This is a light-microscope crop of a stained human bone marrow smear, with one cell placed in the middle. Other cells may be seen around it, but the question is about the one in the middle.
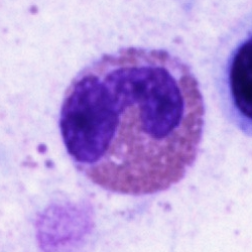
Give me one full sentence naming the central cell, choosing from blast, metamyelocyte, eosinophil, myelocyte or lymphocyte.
The cell under consideration, at the middle of the crop, is an eosinophil.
